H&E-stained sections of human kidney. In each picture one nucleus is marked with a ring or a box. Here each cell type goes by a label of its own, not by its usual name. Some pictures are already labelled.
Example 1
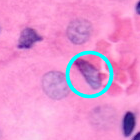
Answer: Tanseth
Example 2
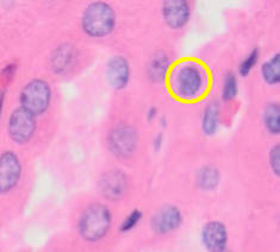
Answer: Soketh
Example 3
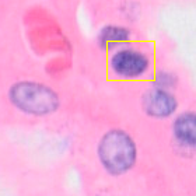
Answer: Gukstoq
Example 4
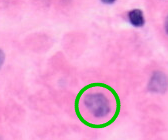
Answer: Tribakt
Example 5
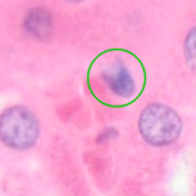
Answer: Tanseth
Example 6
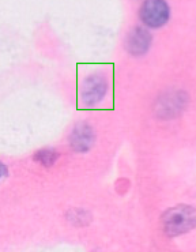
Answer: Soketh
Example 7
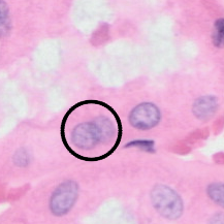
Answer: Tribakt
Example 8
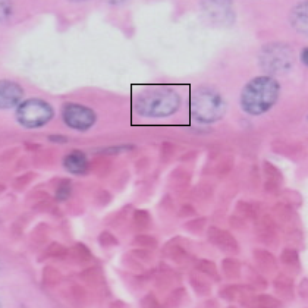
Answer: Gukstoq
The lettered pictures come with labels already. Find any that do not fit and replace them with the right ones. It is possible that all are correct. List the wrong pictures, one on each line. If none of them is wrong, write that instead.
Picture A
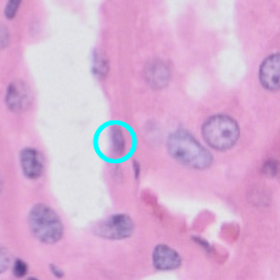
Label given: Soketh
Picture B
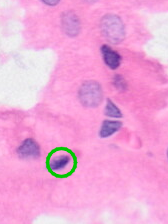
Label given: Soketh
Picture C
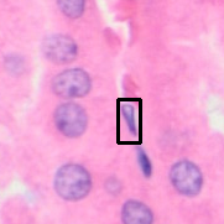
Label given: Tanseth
B is labelled Soketh; correct label: Tanseth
